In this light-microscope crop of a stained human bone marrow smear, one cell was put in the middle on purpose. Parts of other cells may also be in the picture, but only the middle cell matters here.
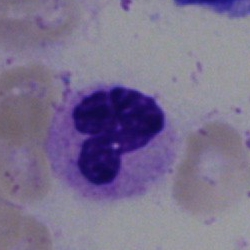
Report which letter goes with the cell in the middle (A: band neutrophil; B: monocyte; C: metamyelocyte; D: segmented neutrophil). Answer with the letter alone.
D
